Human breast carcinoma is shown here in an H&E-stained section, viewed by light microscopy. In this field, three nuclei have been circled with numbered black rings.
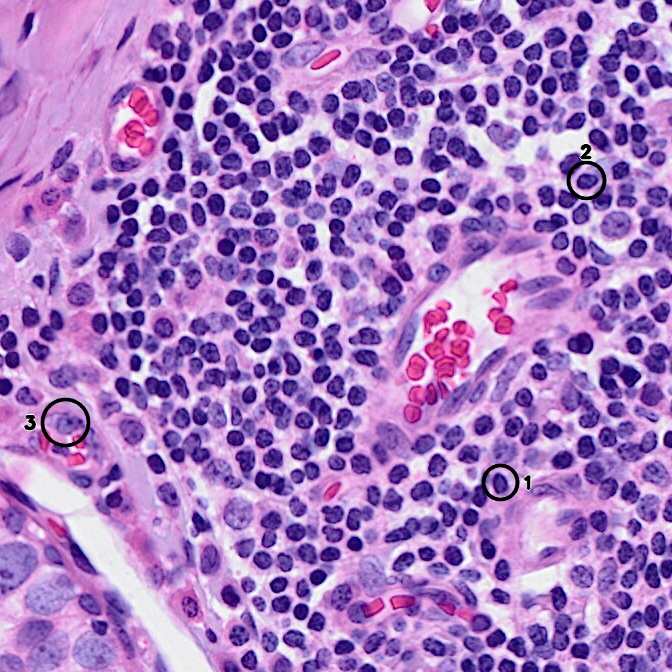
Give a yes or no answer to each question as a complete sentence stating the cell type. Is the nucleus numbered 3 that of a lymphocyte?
No, cell 3 has been misnamed; it is an endothelial cell, not a lymphocyte.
